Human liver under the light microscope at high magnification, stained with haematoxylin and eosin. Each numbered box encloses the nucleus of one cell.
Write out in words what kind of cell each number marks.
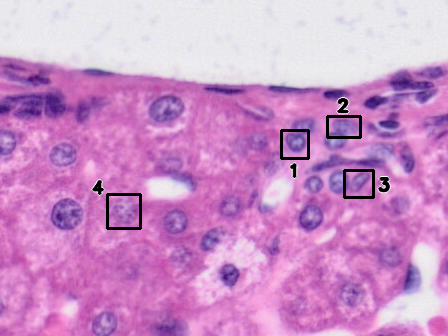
Cell 1 is a cholangiocyte, cell 2 is a cholangiocyte, cell 3 is a cholangiocyte and cell 4 is a hepatocyte.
